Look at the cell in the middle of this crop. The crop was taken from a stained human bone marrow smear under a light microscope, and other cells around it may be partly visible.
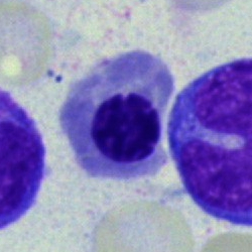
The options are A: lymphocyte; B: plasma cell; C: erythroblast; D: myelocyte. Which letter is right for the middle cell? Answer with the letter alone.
C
